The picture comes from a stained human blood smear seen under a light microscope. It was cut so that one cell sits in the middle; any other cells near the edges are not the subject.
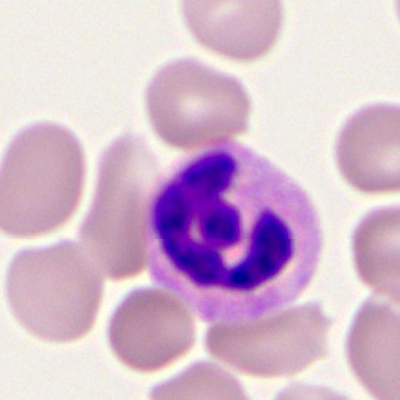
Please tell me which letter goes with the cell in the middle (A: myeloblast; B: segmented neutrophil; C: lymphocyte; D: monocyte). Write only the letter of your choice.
B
